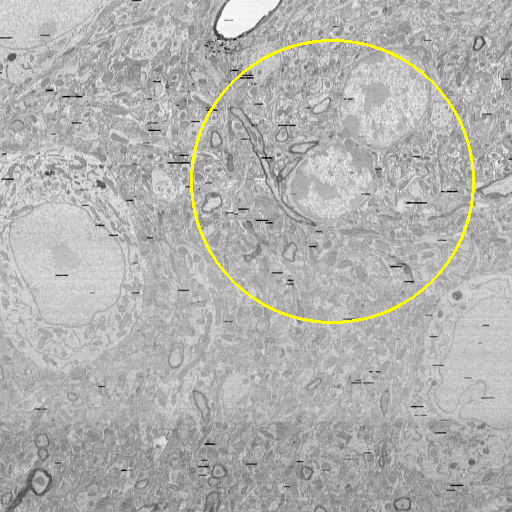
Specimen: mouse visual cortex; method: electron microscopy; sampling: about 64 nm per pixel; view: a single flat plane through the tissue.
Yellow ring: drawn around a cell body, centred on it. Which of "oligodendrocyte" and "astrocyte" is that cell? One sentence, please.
That cell body is from an oligodendrocyte.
